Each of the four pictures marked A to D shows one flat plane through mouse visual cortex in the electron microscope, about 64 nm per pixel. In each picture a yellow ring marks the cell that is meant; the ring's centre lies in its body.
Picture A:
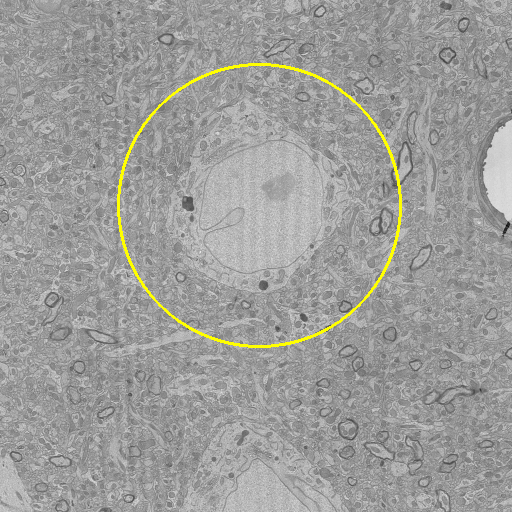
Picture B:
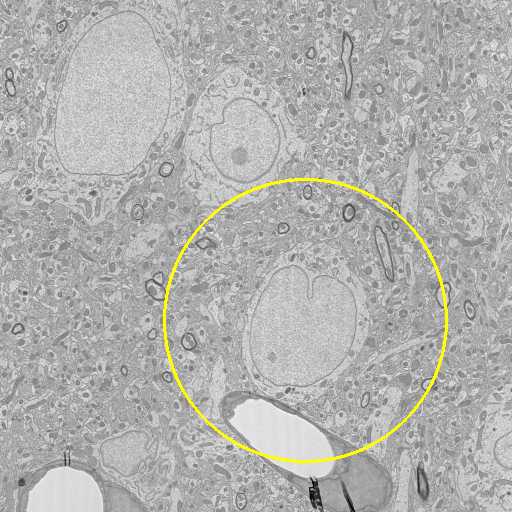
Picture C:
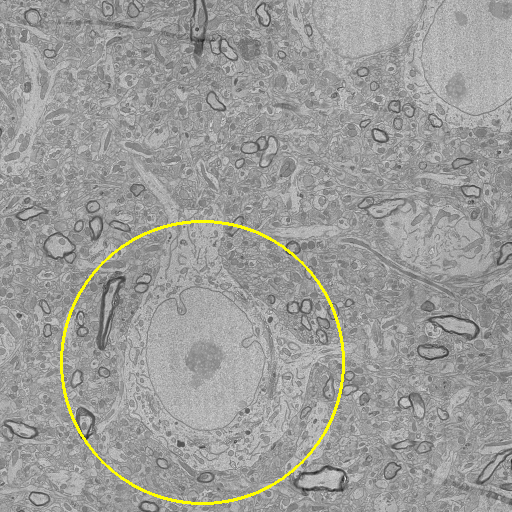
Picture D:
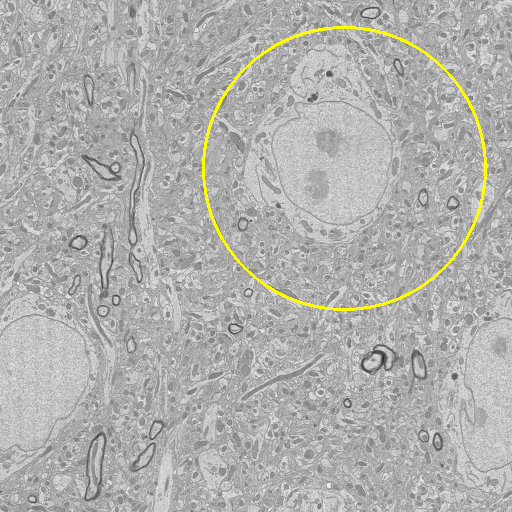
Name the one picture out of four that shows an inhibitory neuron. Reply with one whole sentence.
Picture C shows the inhibitory neuron.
